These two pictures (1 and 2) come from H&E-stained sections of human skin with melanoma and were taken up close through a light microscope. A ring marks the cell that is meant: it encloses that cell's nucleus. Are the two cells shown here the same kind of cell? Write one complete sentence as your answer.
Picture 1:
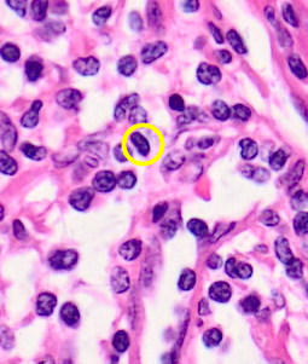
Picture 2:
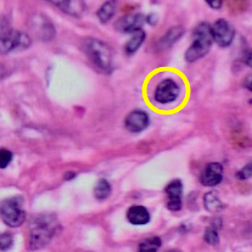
Yes; the cells in both pictures are lymphocytes.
